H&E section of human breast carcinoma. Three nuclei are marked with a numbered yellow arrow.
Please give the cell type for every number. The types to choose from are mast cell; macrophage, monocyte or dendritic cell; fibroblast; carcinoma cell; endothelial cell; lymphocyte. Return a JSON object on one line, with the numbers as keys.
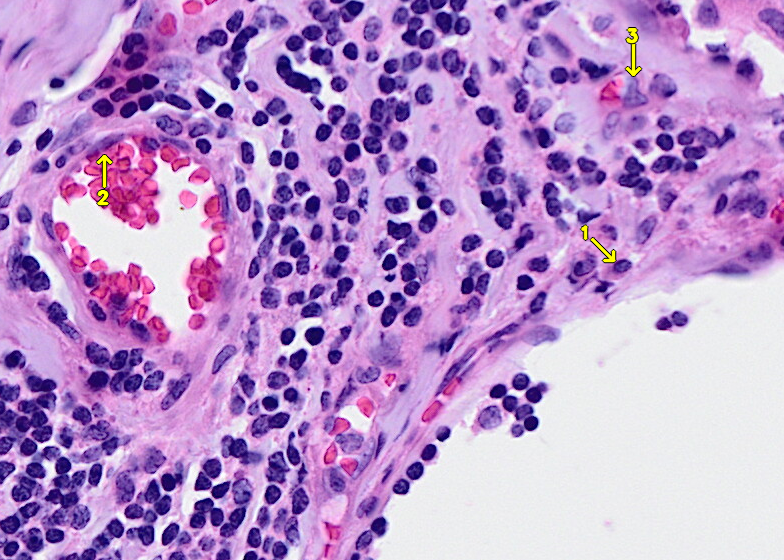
{"1": "mast cell", "2": "endothelial cell", "3": "endothelial cell"}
